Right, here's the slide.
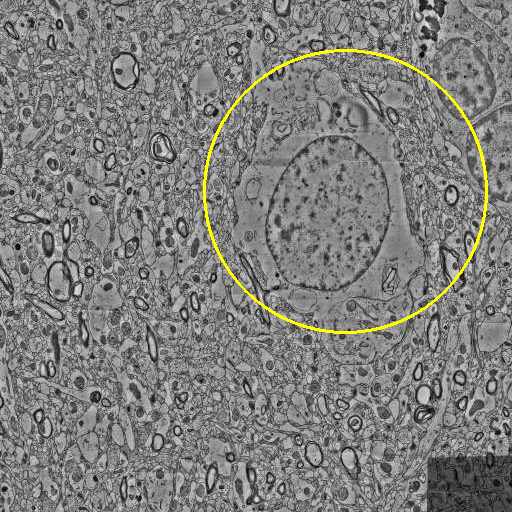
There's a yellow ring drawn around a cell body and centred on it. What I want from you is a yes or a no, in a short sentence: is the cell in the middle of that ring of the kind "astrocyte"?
Yes, it's of that kind.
